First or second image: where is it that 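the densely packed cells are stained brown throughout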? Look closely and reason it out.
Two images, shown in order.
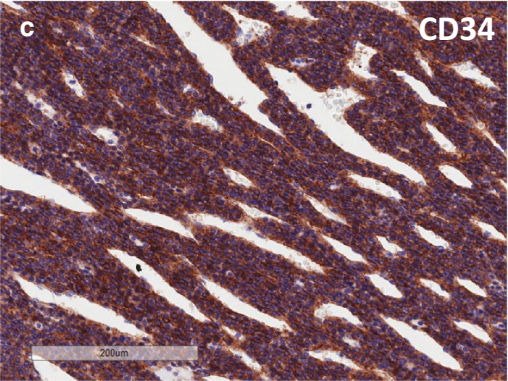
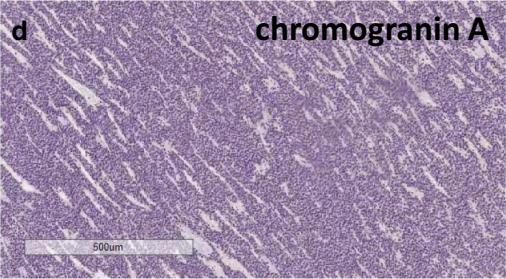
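The first image. Second image: the cell sheet is blue-purple from the counterstain only, with no brown colour. First image: the cells between the slit-like spaces are intensely brown.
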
